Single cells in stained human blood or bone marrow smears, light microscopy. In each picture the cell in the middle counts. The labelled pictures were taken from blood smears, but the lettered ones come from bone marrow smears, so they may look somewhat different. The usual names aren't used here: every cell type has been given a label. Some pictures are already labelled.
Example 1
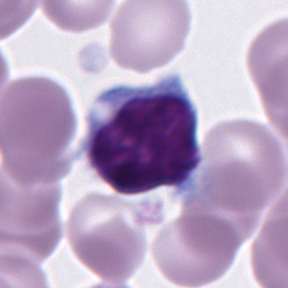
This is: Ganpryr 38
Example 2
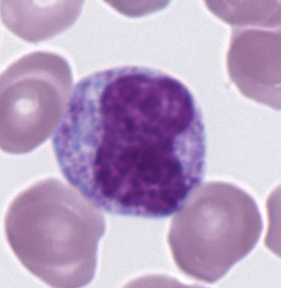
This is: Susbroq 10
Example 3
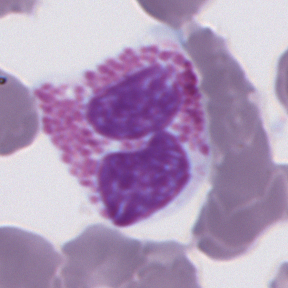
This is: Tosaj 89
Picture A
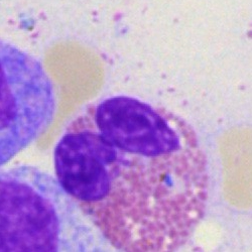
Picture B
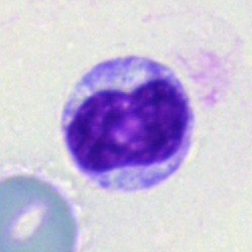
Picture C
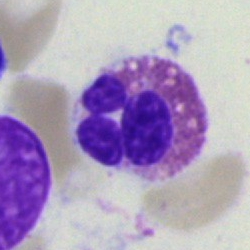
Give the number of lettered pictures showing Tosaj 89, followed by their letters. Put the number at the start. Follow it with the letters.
Count: 2 (A, C)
